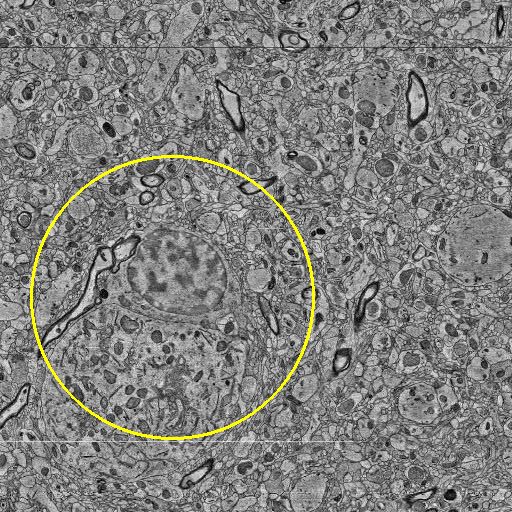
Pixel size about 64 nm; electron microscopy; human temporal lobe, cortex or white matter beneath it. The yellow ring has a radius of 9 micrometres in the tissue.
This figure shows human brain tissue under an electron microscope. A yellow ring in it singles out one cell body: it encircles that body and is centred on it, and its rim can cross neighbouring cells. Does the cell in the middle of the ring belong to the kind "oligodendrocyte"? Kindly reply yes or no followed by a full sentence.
Yes, the kind asked about is right for the cell centred in the figure's ring.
